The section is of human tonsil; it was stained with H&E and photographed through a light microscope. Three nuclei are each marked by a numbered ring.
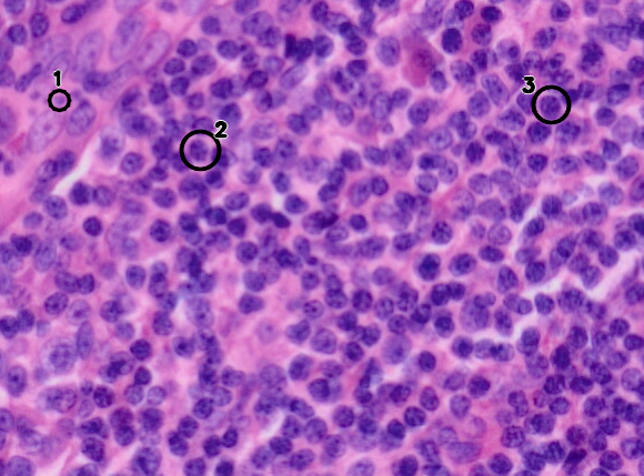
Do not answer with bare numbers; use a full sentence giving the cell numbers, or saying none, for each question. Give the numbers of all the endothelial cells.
Cell 1 is an endothelial cell, whereas each of the other numbered cells is not.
